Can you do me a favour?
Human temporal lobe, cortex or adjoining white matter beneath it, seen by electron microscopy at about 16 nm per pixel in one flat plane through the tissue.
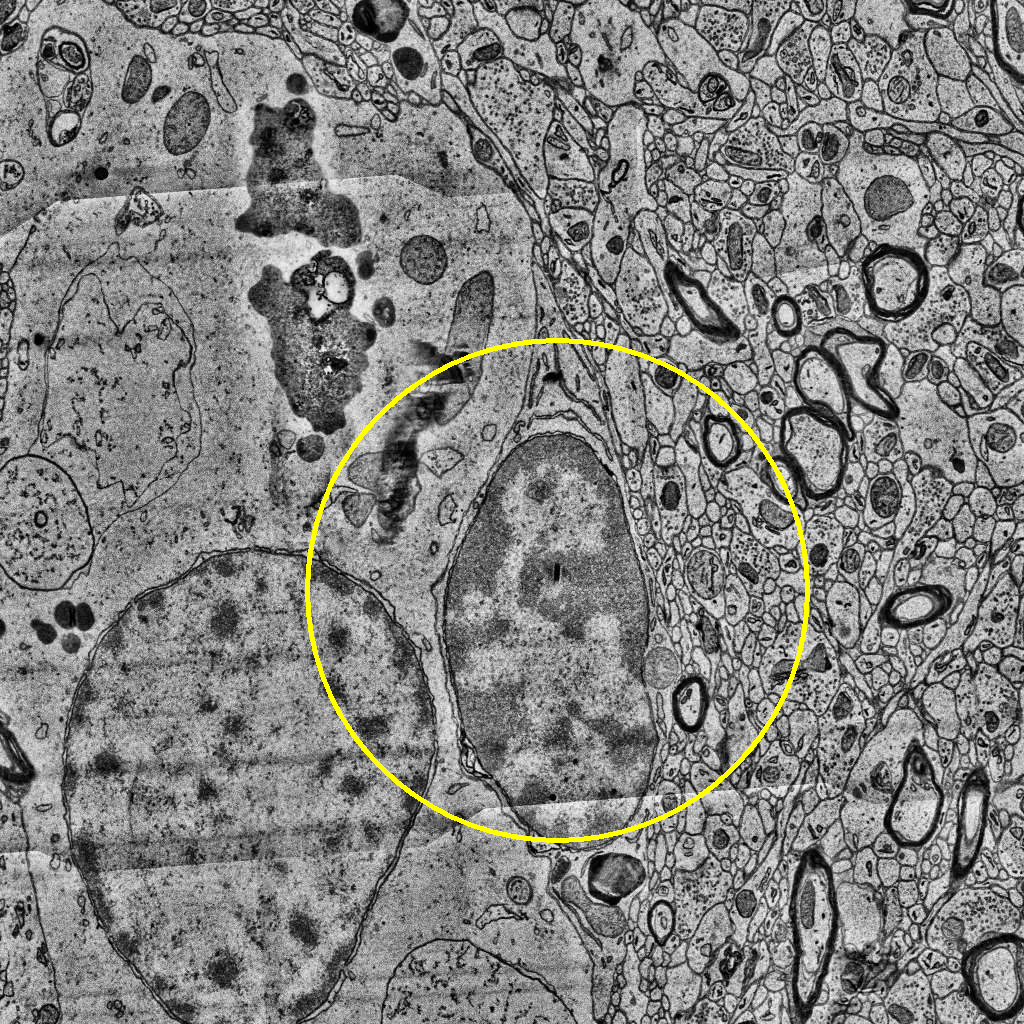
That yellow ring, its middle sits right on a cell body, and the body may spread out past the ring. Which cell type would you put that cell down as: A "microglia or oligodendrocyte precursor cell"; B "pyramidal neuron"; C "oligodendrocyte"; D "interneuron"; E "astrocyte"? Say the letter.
A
